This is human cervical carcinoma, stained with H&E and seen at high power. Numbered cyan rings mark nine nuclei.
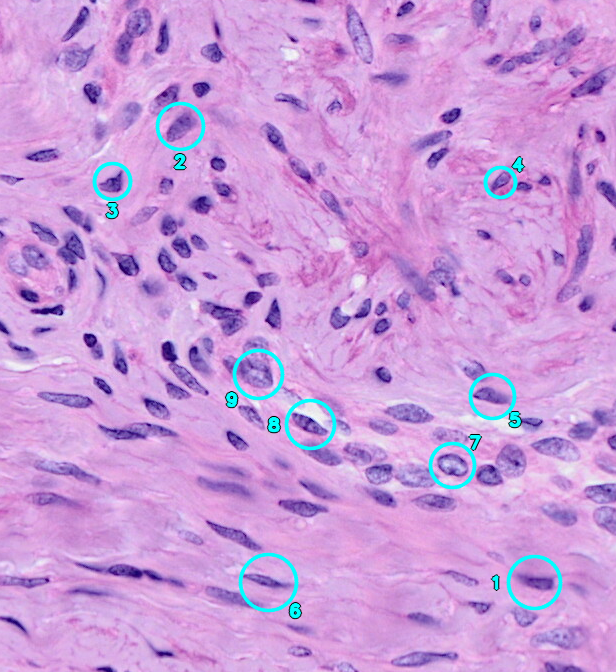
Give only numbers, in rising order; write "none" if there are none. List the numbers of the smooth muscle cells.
4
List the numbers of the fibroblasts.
1, 2, 3, 5, 6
